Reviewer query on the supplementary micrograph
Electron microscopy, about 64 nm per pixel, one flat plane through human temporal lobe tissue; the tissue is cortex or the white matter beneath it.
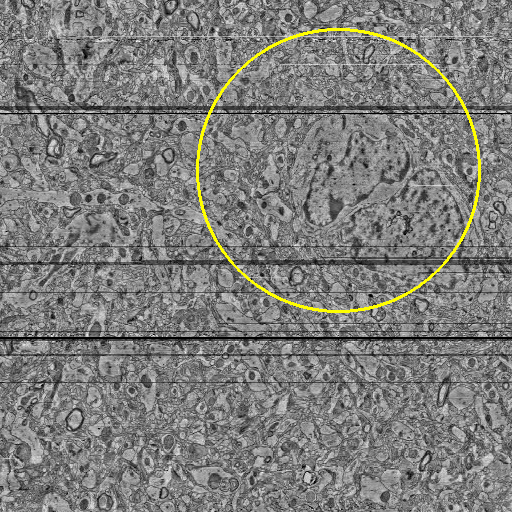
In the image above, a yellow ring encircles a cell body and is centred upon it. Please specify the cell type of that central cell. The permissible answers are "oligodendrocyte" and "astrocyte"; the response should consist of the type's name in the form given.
astrocyte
